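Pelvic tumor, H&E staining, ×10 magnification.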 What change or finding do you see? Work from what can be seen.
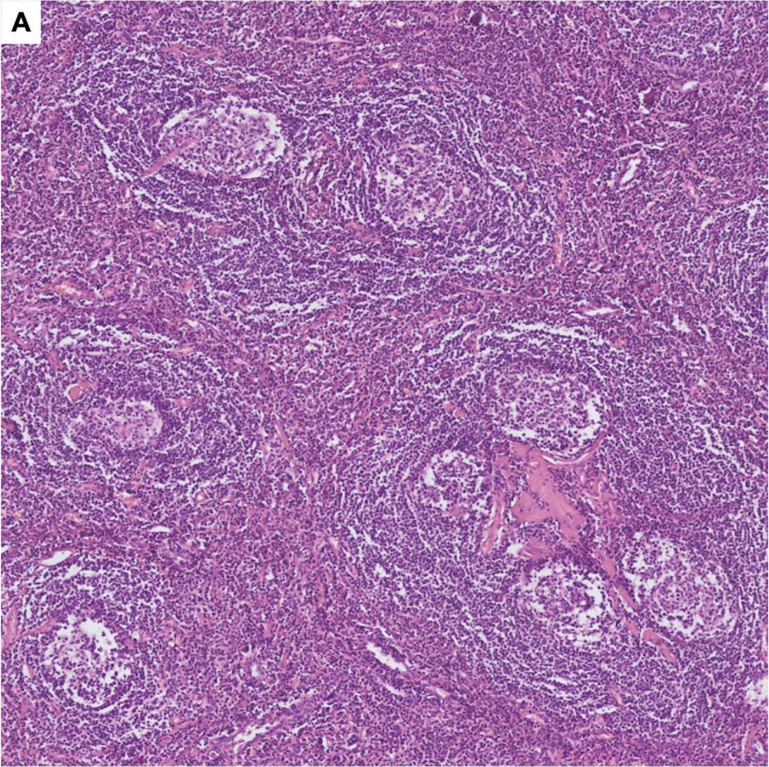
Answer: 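Small dark lymphocytes are arranged in concentric rings around pale follicle centers. The rings of lymphocytes are broad compared with the small pale centers.
Conclusion: mantle zones expansion in an “onion-skin pattern,”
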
